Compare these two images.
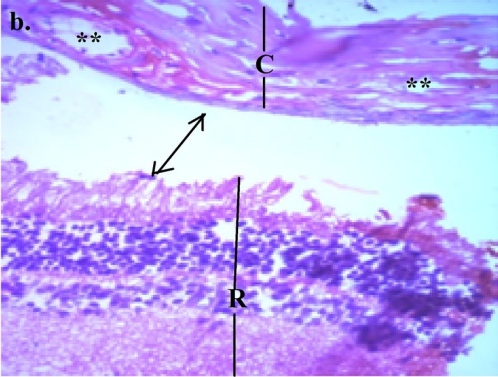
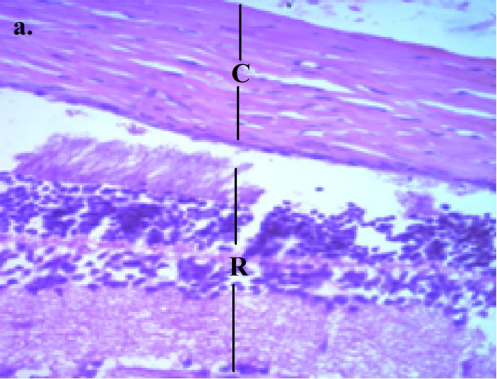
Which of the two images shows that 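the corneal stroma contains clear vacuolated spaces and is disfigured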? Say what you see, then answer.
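First image: the upper corneal layer shows clear open spaces and irregular, disorganised pink fibres. Second image: the upper corneal layer is a compact band of parallel pink fibres with thin slit-like spaces.
Answer: the first image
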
